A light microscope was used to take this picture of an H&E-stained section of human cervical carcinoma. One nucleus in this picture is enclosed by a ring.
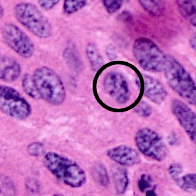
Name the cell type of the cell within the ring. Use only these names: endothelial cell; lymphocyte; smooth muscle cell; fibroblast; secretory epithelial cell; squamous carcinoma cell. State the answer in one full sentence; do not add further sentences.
In this preparation, the cell within the ring is a squamous carcinoma cell.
